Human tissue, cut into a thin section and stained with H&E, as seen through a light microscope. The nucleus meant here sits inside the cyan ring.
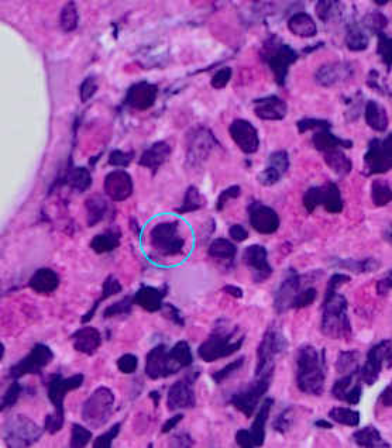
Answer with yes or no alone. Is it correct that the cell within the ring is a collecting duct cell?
no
